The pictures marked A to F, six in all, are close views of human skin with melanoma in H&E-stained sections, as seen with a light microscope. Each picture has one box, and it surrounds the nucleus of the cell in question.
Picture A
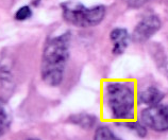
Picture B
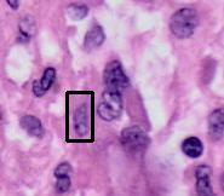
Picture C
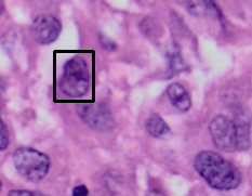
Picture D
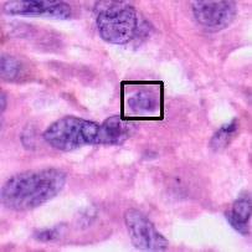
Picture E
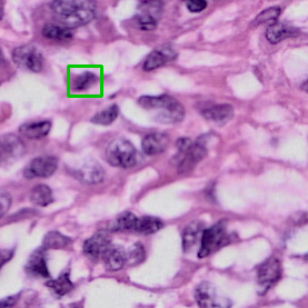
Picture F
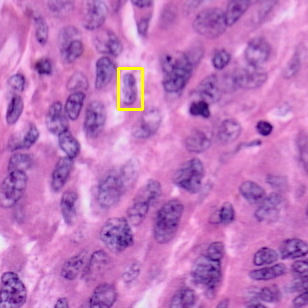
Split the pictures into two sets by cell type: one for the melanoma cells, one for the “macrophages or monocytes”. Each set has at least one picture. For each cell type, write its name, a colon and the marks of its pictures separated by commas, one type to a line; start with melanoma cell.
melanoma cell: A, C, D
macrophage or monocyte: B, E, F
